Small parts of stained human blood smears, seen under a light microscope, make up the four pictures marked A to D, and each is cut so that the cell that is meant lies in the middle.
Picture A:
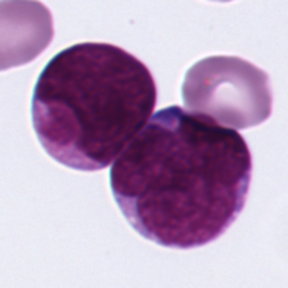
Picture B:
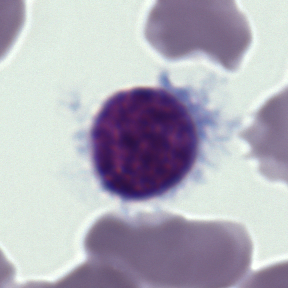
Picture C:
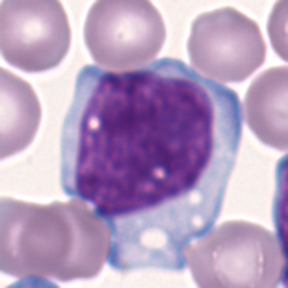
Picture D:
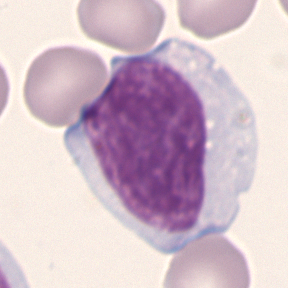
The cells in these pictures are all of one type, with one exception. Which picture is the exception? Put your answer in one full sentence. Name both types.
The others show myeloblasts, but picture B shows a hairy cell.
